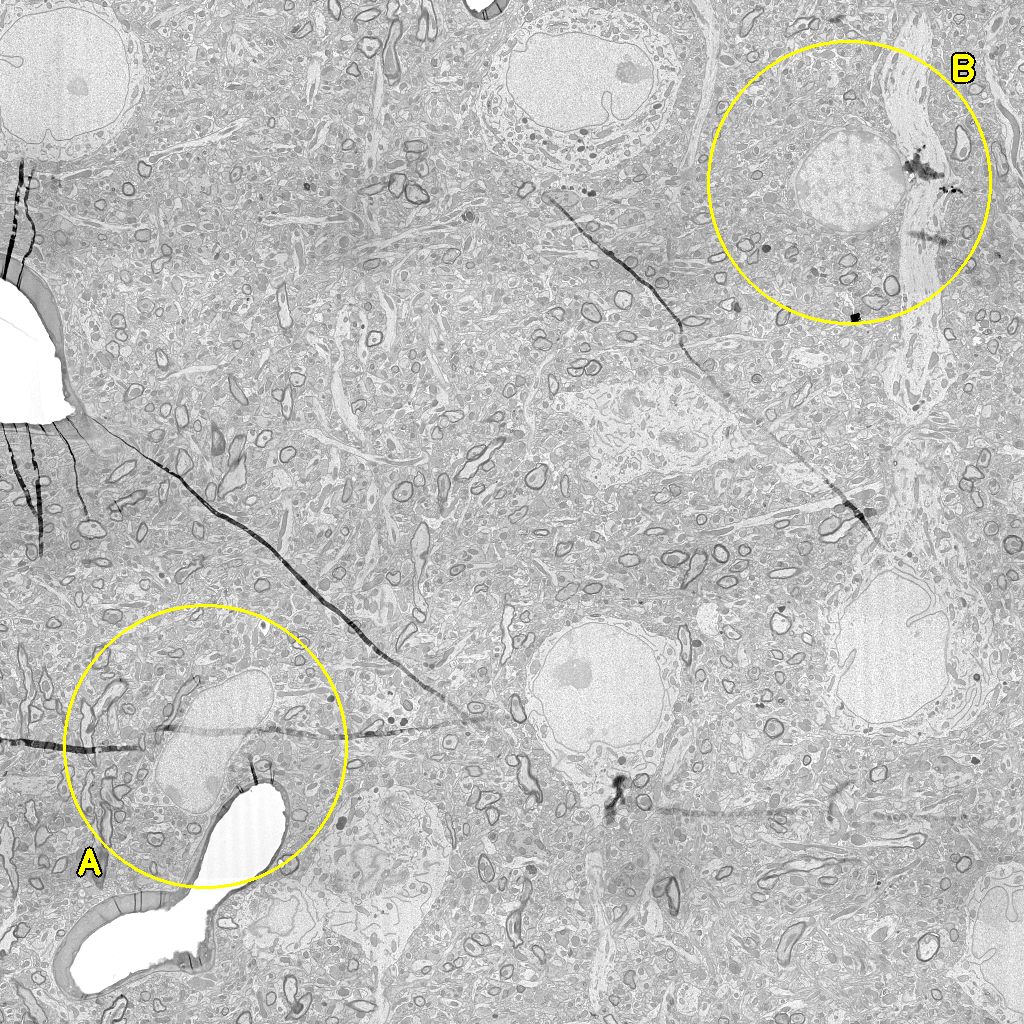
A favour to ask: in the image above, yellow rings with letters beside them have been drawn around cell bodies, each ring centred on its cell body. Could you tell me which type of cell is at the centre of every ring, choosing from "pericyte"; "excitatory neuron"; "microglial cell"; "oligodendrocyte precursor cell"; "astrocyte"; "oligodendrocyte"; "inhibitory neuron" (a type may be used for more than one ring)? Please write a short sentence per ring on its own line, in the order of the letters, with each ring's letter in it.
Ring A holds an astrocyte at its centre.
Ring B holds an oligodendrocyte at its centre.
